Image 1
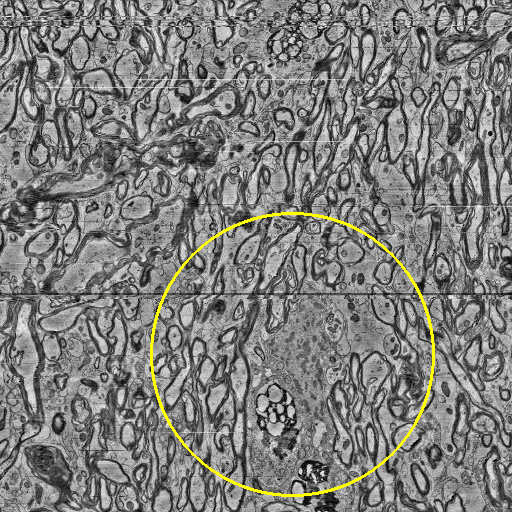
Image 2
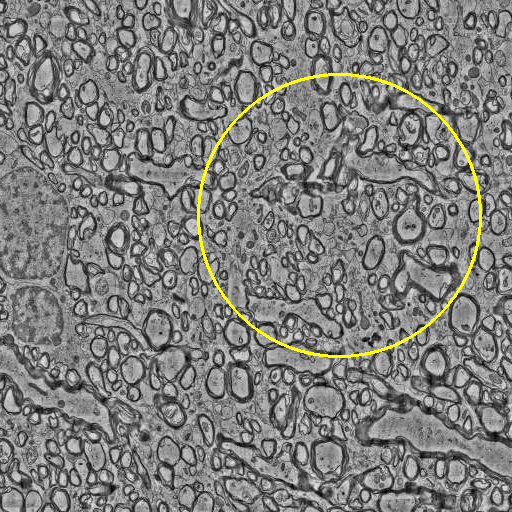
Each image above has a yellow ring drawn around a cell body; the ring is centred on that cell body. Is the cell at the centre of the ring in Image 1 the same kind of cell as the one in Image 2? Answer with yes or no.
yes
